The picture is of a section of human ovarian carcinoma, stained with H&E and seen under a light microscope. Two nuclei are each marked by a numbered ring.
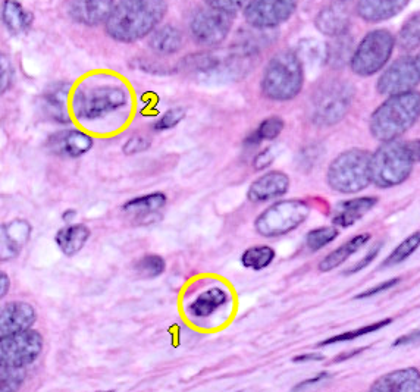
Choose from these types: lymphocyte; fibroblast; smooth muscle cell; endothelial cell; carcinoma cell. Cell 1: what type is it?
lymphocyte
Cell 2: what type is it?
fibroblast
